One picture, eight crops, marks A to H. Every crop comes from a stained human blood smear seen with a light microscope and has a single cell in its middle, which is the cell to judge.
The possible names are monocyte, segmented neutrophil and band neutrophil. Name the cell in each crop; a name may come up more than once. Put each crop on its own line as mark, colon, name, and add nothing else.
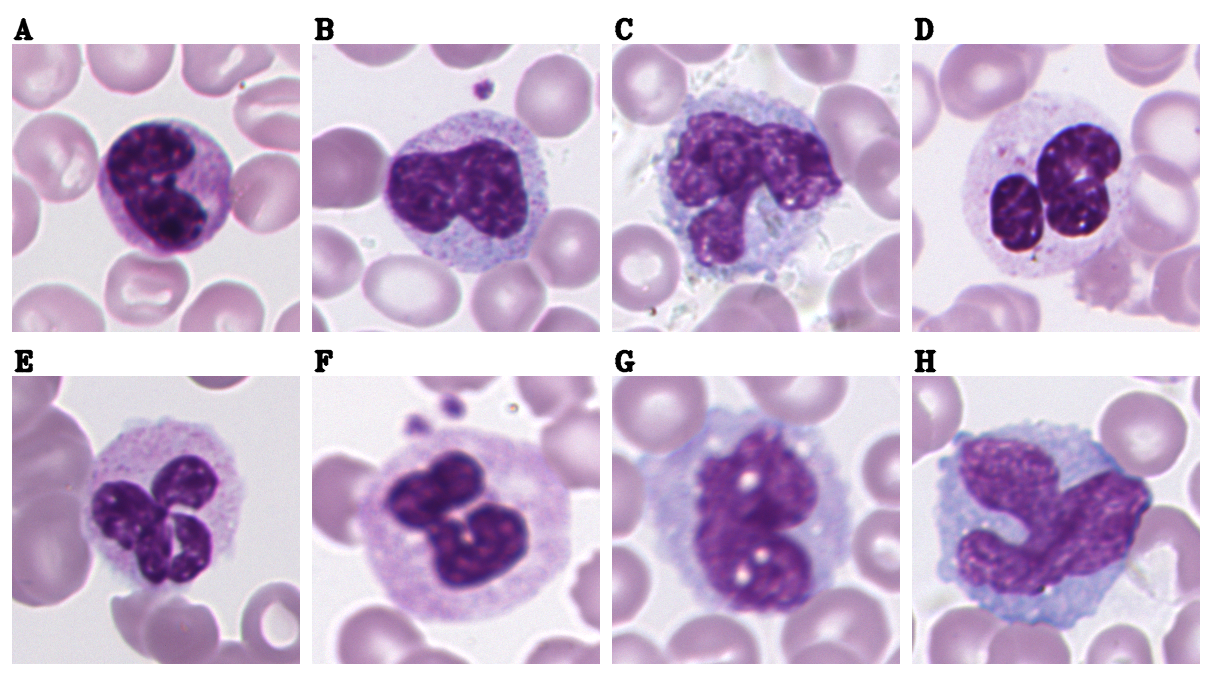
A: band neutrophil
B: band neutrophil
C: monocyte
D: segmented neutrophil
E: segmented neutrophil
F: segmented neutrophil
G: monocyte
H: monocyte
